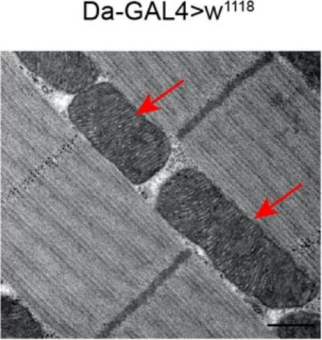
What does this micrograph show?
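This electron micrograph of insect flight muscle shows broad bundles of finely striated myofibrils, crossed at regular intervals by dark transverse lines. Between the bundles lie large, elongated mitochondria that are dark and packed with tightly stacked, parallel cristae.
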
